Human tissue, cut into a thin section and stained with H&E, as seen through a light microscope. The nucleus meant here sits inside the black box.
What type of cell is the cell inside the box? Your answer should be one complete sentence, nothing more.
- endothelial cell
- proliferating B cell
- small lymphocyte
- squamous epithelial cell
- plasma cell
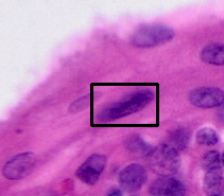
Just put down that the cell inside the box is a squamous epithelial cell.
